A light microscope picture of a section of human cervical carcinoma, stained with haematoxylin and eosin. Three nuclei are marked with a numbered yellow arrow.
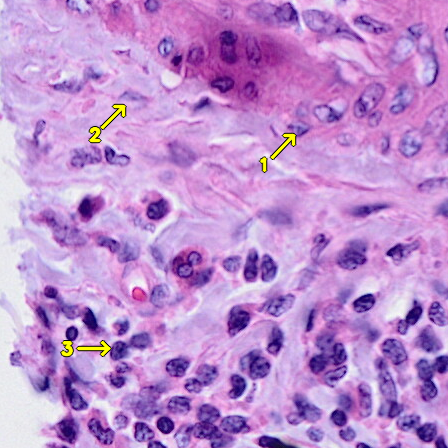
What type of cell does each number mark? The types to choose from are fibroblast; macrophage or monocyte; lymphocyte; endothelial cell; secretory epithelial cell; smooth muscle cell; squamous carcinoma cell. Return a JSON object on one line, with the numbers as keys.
{"1": "smooth muscle cell", "2": "fibroblast", "3": "lymphocyte"}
